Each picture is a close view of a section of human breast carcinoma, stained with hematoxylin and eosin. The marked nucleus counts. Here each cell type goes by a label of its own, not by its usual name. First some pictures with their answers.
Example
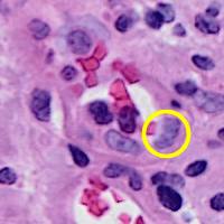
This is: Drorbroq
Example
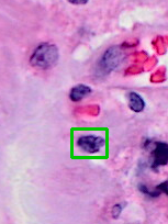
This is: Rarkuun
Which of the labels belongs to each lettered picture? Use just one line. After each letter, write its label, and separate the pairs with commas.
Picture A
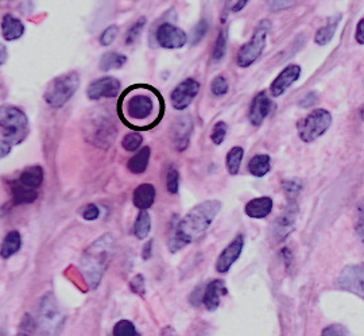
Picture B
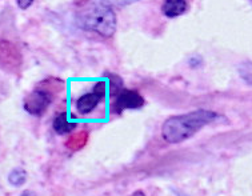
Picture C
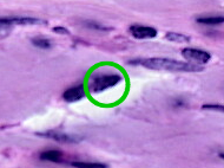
A Rarkuun, B Rarkuun, C Rarkuun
